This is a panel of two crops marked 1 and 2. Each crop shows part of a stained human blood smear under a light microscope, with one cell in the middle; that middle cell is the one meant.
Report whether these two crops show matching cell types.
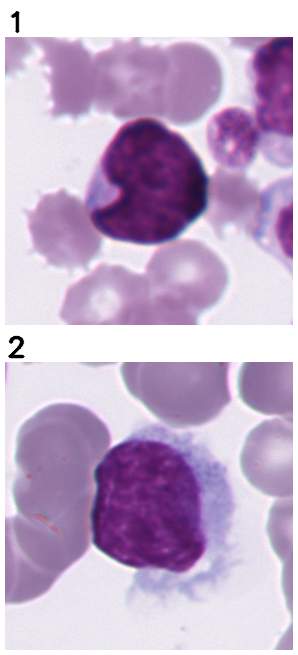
no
